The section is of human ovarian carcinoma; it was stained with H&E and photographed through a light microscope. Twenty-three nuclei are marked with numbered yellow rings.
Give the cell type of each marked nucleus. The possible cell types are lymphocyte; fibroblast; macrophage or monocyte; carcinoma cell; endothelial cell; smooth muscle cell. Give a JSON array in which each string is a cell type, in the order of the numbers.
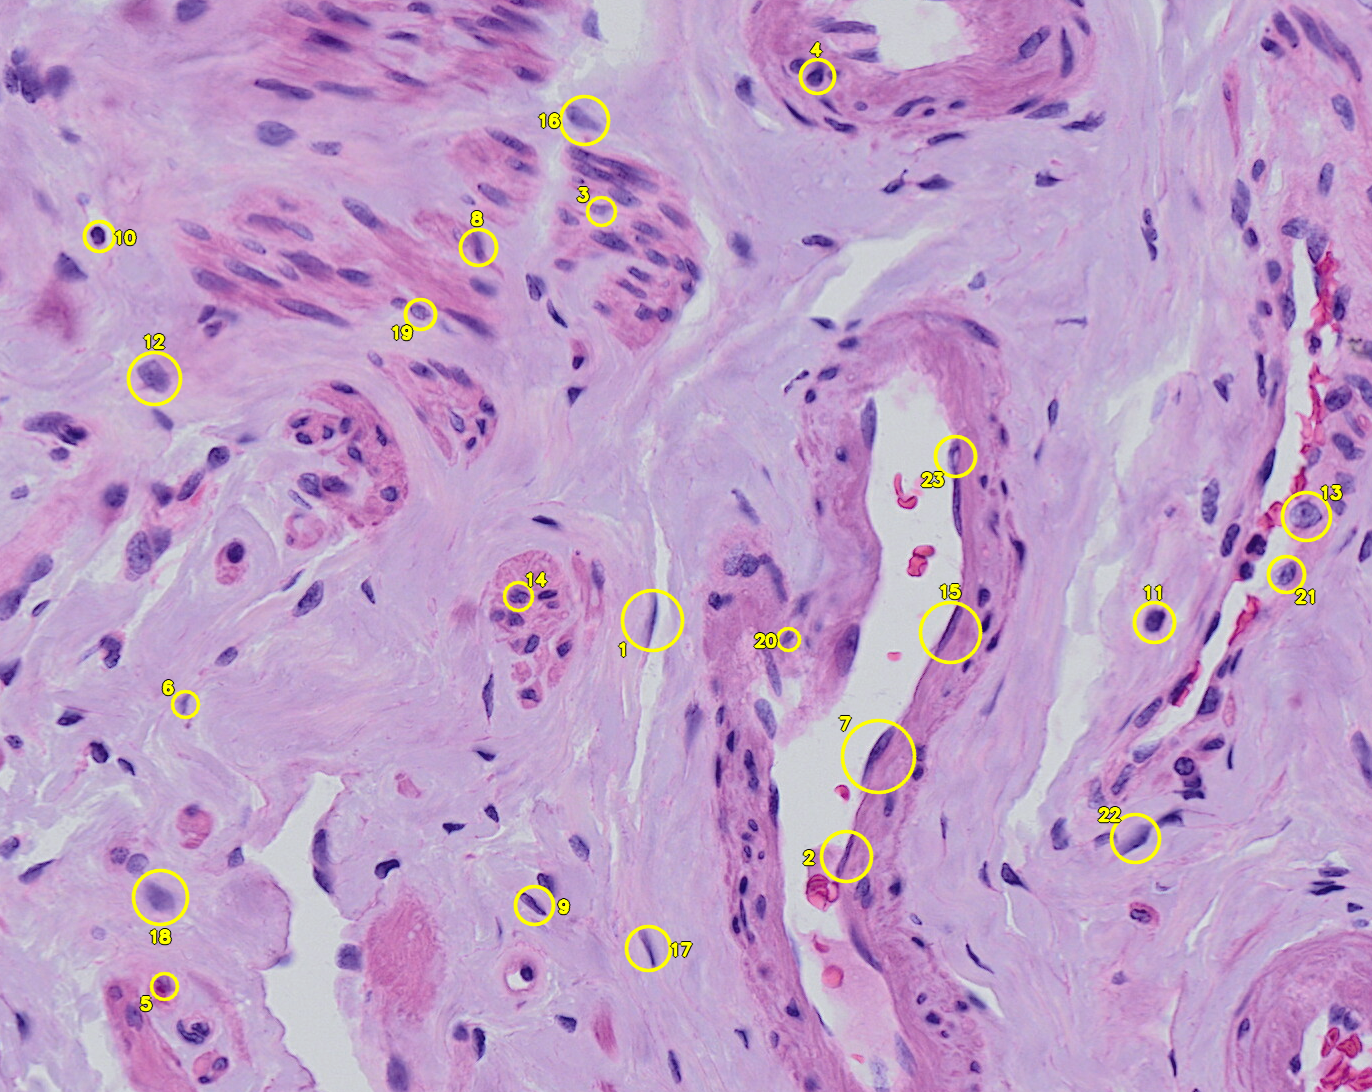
["fibroblast", "endothelial cell", "smooth muscle cell", "smooth muscle cell", "endothelial cell", "fibroblast", "endothelial cell", "smooth muscle cell", "fibroblast", "lymphocyte", "lymphocyte", "fibroblast", "endothelial cell", "smooth muscle cell", "endothelial cell", "fibroblast", "fibroblast", "fibroblast", "smooth muscle cell", "smooth muscle cell", "endothelial cell", "fibroblast", "endothelial cell"]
